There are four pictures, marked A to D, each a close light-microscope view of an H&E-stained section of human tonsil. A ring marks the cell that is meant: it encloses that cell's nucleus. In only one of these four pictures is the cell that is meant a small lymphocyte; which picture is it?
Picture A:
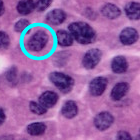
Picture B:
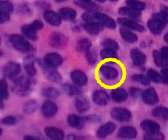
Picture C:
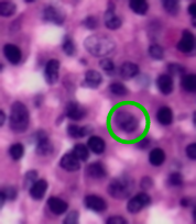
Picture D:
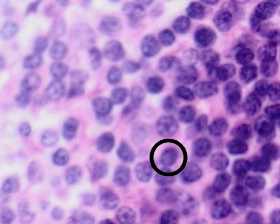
D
